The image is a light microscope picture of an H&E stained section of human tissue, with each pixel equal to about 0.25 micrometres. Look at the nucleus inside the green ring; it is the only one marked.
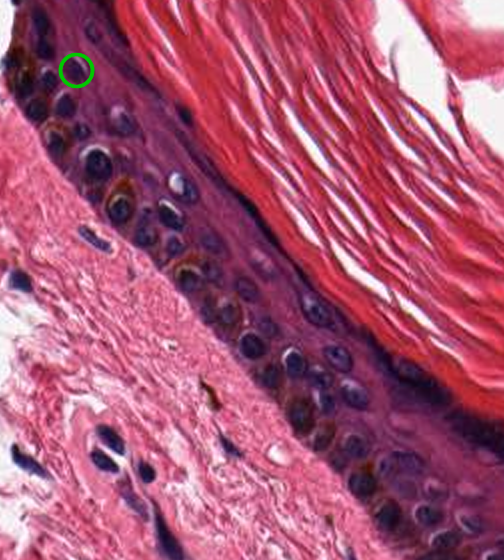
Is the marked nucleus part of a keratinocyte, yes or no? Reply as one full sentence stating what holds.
Yes, the marked nucleus, as shown, belongs to a keratinocyte.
